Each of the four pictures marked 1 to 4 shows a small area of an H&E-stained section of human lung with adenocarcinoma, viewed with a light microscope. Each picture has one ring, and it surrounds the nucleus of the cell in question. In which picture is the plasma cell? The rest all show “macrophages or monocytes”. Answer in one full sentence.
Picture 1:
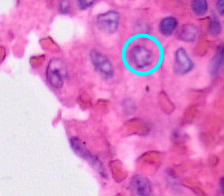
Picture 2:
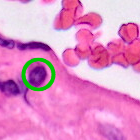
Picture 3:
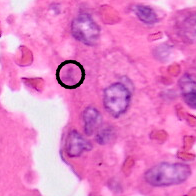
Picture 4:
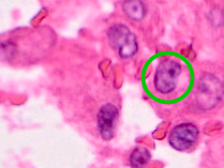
Picture 2 is the one that shows the plasma cell.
